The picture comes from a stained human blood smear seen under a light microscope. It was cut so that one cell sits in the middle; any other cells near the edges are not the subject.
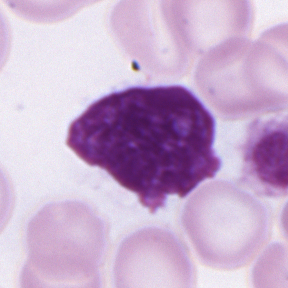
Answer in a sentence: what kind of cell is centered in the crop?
Classified as a smudge cell is the cell in the middle of this crop.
